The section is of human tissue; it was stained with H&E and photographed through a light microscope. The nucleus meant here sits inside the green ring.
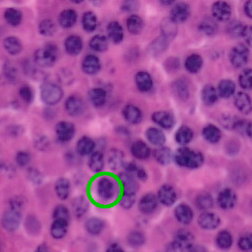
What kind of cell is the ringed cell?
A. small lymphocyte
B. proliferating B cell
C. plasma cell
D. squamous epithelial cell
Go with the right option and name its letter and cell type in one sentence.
Option C stands as correct, with the ringed cell being a plasma cell.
